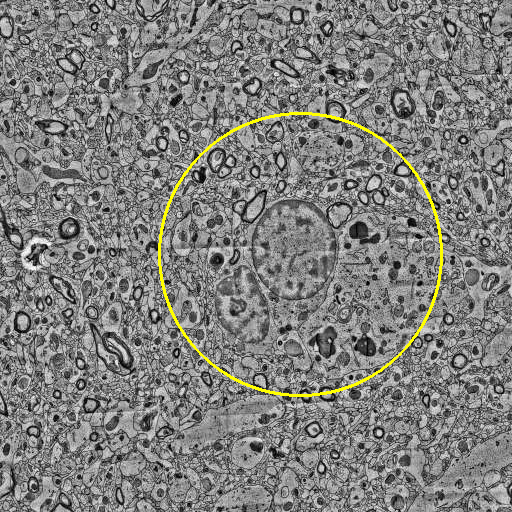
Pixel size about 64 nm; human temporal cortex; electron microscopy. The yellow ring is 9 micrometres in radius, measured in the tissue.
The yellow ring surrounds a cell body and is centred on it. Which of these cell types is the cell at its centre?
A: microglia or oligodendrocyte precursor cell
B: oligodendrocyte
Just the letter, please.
B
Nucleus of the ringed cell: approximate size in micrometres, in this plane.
About 6 micrometres by about 5 micrometres in this plane.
